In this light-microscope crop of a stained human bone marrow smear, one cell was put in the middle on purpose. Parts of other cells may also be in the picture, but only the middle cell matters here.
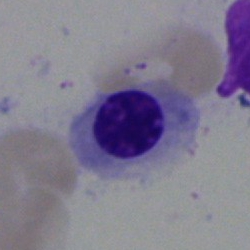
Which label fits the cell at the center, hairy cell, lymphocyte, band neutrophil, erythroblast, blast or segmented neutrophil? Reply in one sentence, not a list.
The cell centered in this field of view is an erythroblast.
